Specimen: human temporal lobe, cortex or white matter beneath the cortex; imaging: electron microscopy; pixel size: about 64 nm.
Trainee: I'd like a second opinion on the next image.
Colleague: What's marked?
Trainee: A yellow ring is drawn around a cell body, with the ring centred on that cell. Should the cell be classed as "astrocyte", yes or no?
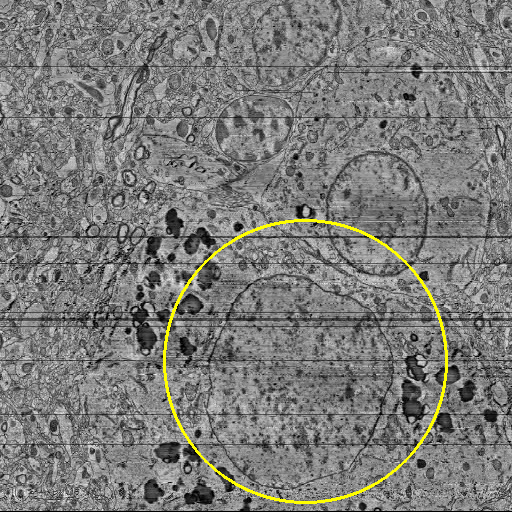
No, it should be classed as another kind.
